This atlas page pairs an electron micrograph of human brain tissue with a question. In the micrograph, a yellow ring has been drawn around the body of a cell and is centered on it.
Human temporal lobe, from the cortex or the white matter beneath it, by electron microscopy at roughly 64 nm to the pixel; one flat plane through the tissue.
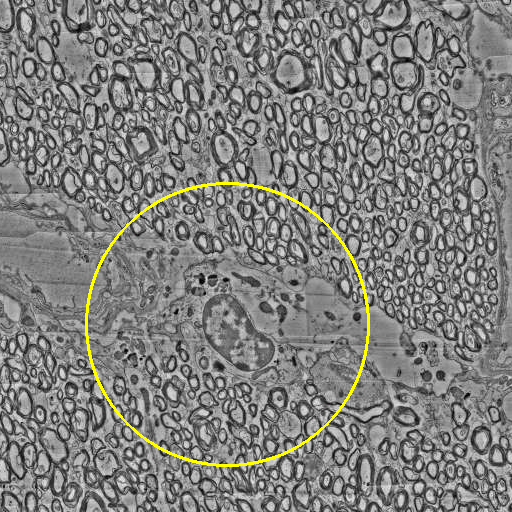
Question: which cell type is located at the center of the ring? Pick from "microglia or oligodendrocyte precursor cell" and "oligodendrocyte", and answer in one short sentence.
Located at the center of the ring is a microglial cell or oligodendrocyte precursor cell.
